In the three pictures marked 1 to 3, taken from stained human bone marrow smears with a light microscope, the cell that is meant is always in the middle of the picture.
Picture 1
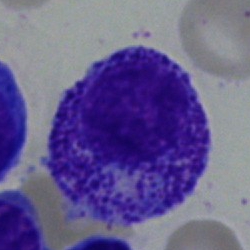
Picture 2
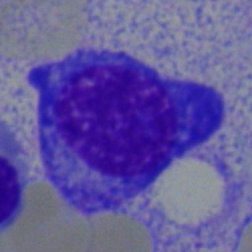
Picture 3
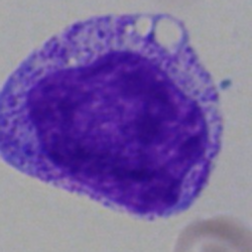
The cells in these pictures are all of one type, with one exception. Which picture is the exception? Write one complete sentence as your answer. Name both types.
All pictures except 2 show myelocytes; picture 2 shows a plasma cell.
